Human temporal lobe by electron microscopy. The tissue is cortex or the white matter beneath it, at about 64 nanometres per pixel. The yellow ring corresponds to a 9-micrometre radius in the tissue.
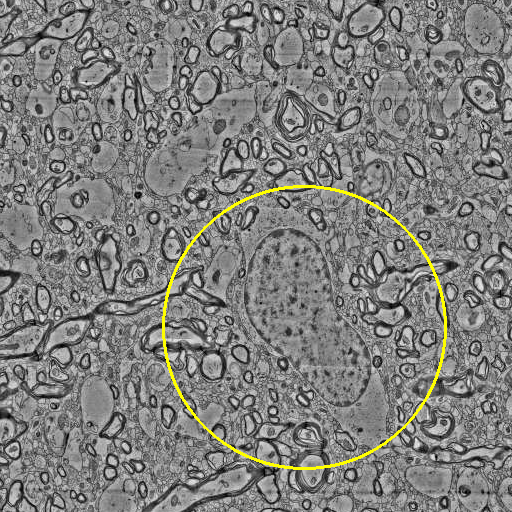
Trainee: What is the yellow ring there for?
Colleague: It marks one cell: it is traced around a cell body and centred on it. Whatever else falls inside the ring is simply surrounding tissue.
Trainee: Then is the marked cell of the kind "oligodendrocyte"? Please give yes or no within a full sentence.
No, the marked cell at the centre of the yellow ring is of a different kind.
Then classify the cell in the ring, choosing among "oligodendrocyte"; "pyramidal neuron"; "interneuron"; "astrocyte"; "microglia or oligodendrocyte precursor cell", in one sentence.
The cell in the ring is a microglial cell or oligodendrocyte precursor cell instead.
